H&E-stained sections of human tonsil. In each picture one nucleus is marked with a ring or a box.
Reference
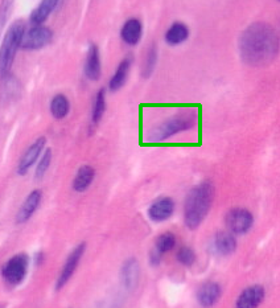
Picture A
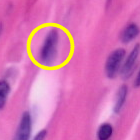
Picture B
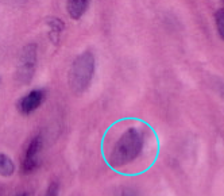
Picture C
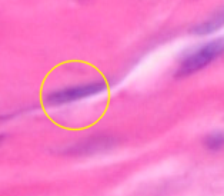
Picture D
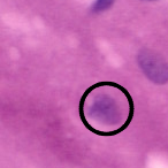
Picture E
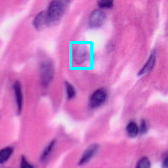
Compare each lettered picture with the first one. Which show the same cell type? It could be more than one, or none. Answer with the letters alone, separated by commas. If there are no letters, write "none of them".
A, C, E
